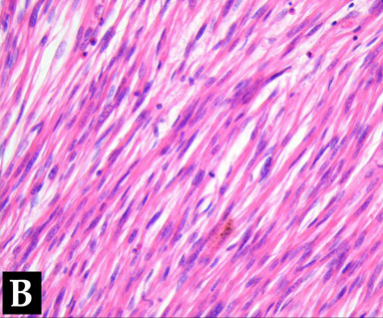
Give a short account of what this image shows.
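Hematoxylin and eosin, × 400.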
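Tissue made of elongated spindle-shaped cells arranged in tightly packed parallel bundles running diagonally across the field. The cells have abundant bright pink cytoplasm, and borders between neighbouring cells are indistinct, so that cells appear fused in places. Their nuclei are elongated and lie centrally within the cells, with dark purple staining. Narrow clear clefts separate some of the bundles.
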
